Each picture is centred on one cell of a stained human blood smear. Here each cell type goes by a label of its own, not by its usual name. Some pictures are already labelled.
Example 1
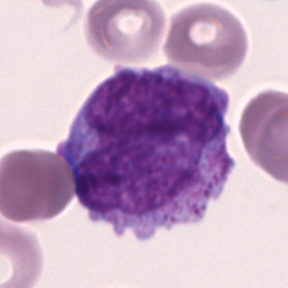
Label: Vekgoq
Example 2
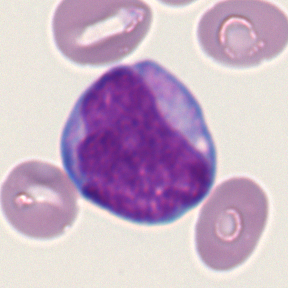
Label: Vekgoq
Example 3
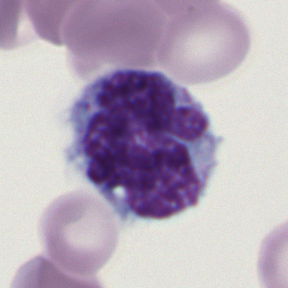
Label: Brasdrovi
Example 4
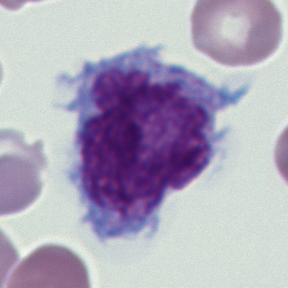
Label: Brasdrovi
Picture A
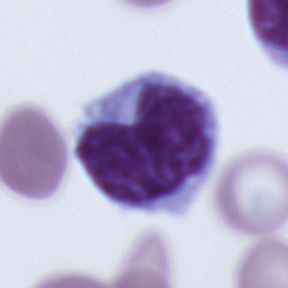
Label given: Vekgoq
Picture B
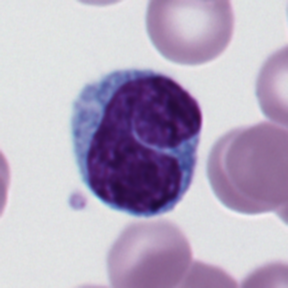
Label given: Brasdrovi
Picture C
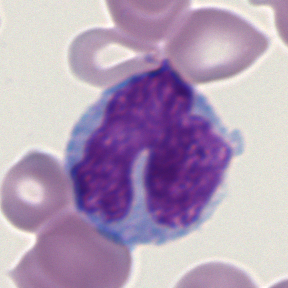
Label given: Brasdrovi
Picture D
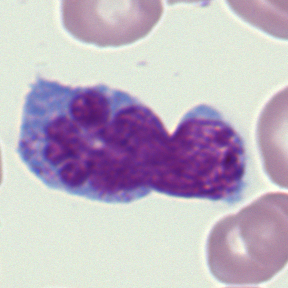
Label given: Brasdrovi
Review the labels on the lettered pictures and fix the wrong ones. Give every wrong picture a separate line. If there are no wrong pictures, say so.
A: change Vekgoq to Brasdrovi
